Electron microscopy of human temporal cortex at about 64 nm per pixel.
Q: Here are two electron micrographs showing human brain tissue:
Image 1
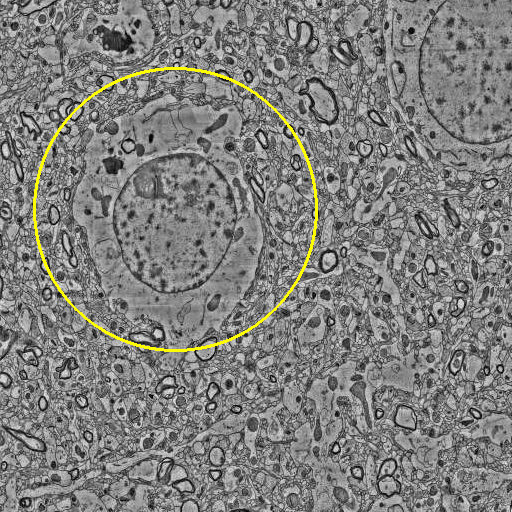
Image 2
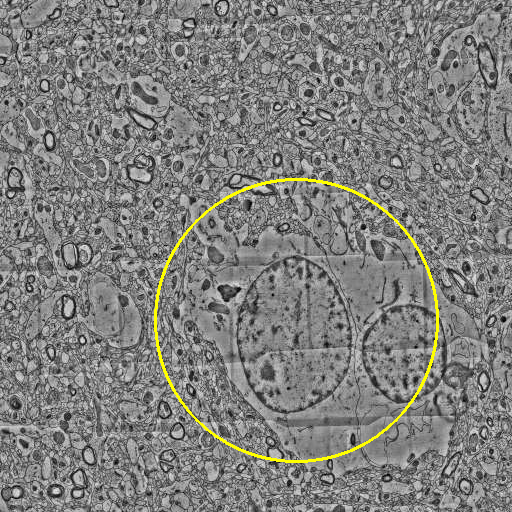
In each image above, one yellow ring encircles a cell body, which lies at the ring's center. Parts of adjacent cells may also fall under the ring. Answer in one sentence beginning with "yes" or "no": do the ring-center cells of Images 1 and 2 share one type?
Yes, in Images 1 and 2, the ring-center cells are both of one type.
